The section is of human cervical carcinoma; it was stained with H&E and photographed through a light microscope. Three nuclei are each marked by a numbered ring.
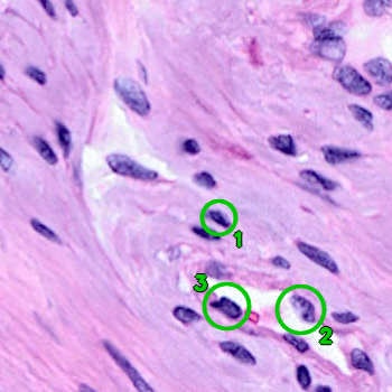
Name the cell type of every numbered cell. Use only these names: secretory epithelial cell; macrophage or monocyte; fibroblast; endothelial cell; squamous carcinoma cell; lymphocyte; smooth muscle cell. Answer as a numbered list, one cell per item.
1. fibroblast
2. endothelial cell
3. endothelial cell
